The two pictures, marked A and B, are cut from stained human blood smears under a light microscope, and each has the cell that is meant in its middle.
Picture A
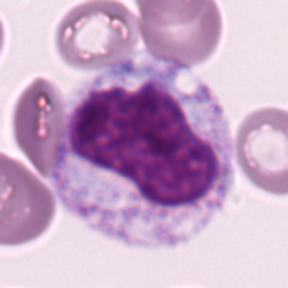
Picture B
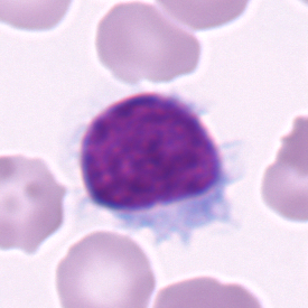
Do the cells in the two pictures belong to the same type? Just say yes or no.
no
